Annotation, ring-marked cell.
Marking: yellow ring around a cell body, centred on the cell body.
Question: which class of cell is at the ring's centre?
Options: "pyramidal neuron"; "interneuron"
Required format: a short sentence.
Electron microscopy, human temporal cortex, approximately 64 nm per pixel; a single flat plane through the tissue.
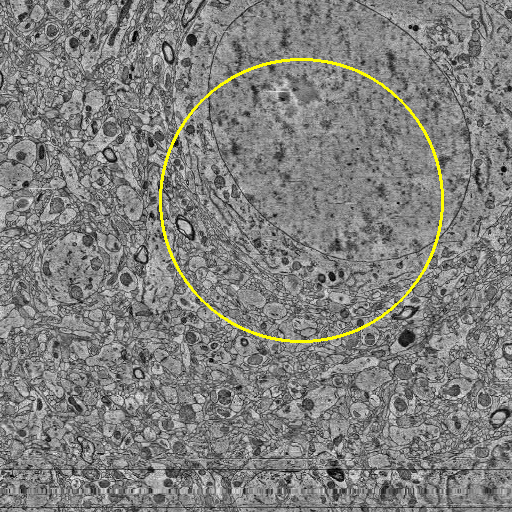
At the ring's centre is a pyramidal neuron.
